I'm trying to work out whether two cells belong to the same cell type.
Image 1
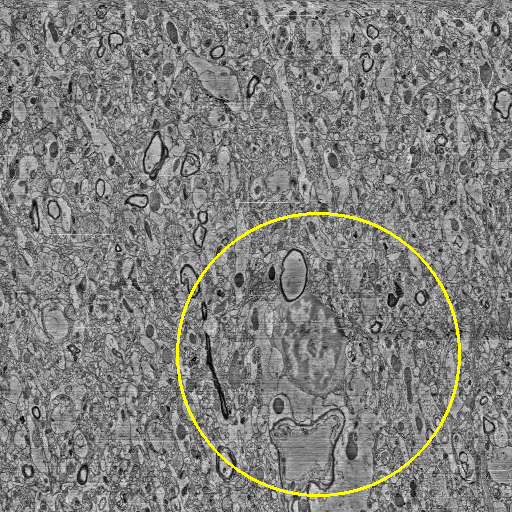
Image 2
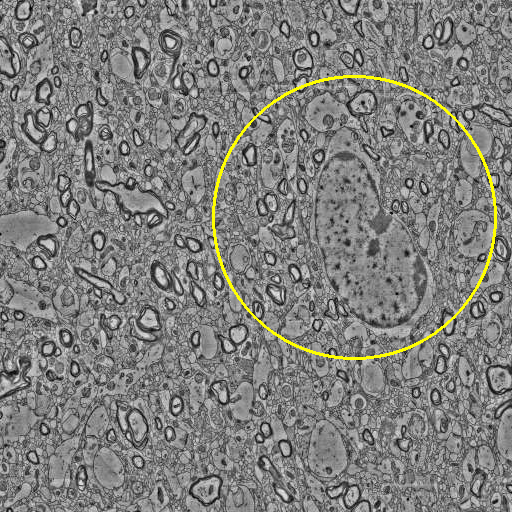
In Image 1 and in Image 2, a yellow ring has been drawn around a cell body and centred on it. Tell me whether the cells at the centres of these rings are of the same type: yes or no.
no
